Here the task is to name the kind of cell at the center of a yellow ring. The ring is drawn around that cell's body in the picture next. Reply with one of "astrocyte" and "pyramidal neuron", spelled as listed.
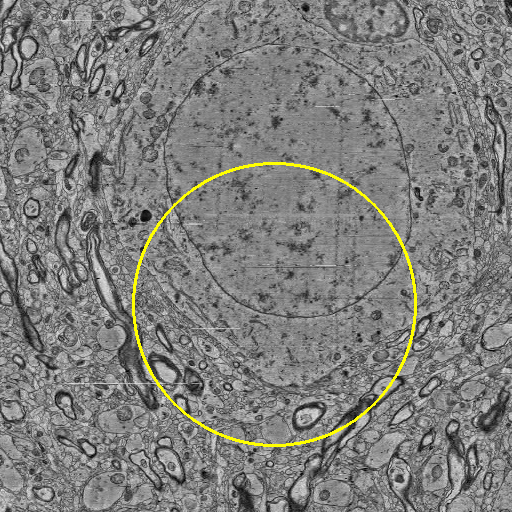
pyramidal neuron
